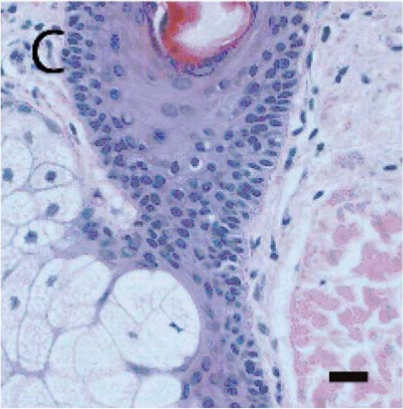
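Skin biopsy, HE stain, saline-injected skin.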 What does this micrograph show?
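This is a high-power view of a hair follicle opening, lined by stratified epithelium whose cells have oval, evenly spaced nuclei, with a red keratin plug in the lumen above. Below and to the left lie lobules of large pale glandular cells with foamy, vacuolated cytoplasm and small central nuclei. The surrounding pink dermis holds only a few scattered nuclei, with no clusters of inflammatory cells.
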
